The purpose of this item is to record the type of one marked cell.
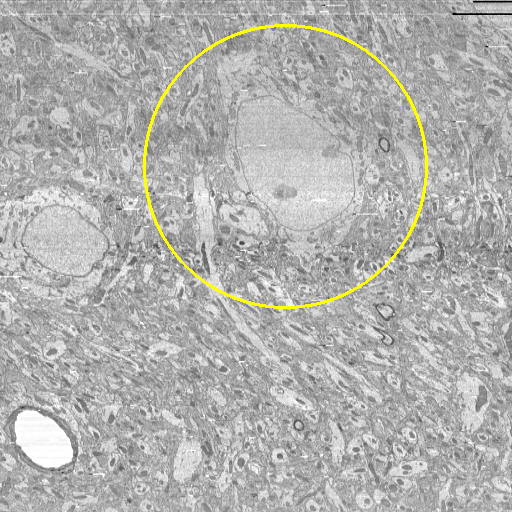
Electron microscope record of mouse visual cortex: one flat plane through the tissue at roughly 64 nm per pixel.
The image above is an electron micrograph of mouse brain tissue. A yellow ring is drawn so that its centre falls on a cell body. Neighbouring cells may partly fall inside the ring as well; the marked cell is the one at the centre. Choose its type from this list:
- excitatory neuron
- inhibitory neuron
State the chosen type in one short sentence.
What the ring marks here is an excitatory neuron.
